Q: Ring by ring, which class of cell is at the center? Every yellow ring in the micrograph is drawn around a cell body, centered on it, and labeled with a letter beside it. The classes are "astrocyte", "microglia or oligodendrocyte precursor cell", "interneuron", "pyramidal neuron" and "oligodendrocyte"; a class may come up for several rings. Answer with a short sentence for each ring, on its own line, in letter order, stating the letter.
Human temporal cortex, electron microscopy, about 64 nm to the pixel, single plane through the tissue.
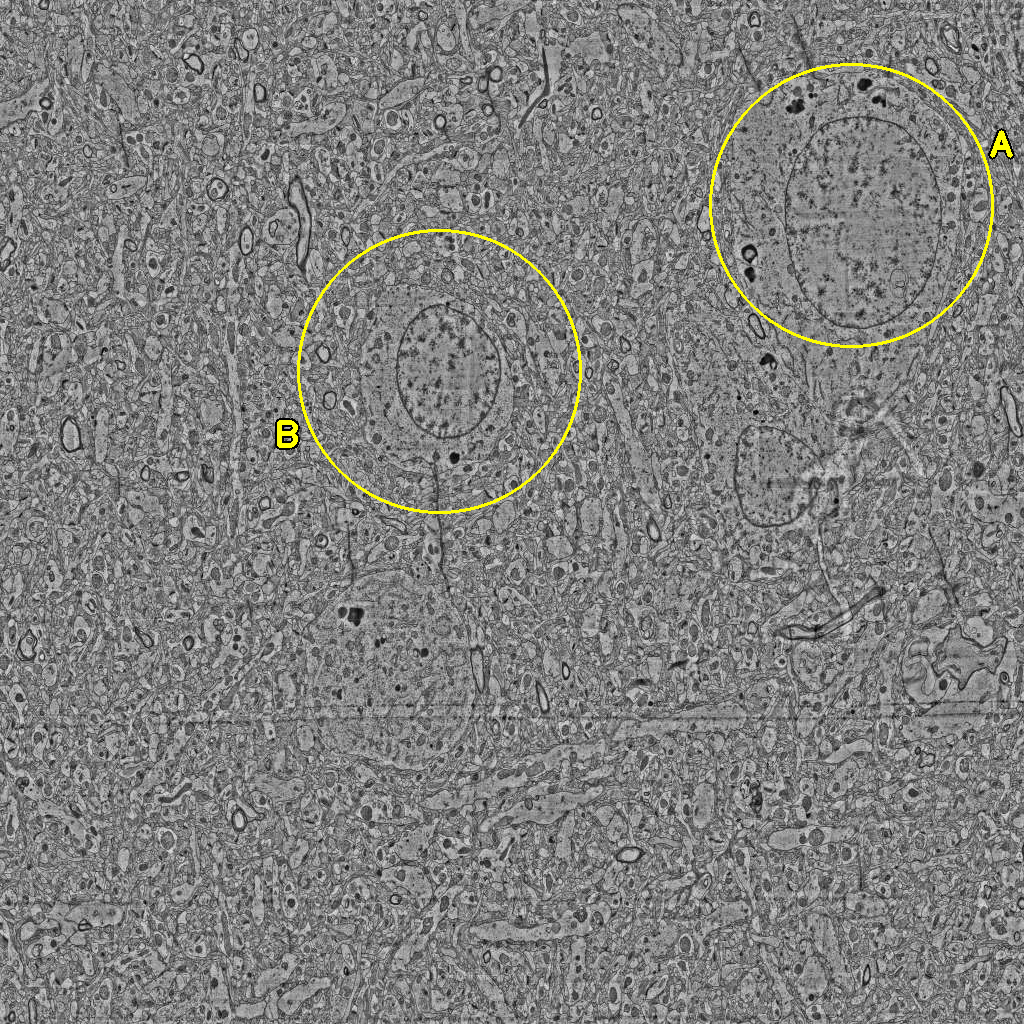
Ring A holds a pyramidal neuron at its center.
Ring B holds a pyramidal neuron at its center.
